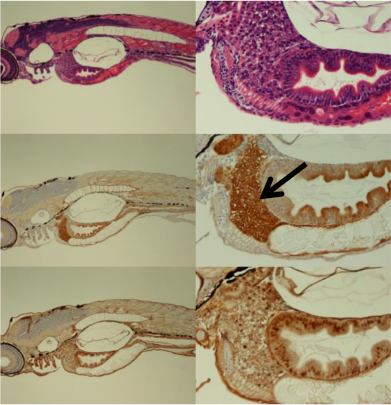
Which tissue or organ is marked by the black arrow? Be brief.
Liver.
